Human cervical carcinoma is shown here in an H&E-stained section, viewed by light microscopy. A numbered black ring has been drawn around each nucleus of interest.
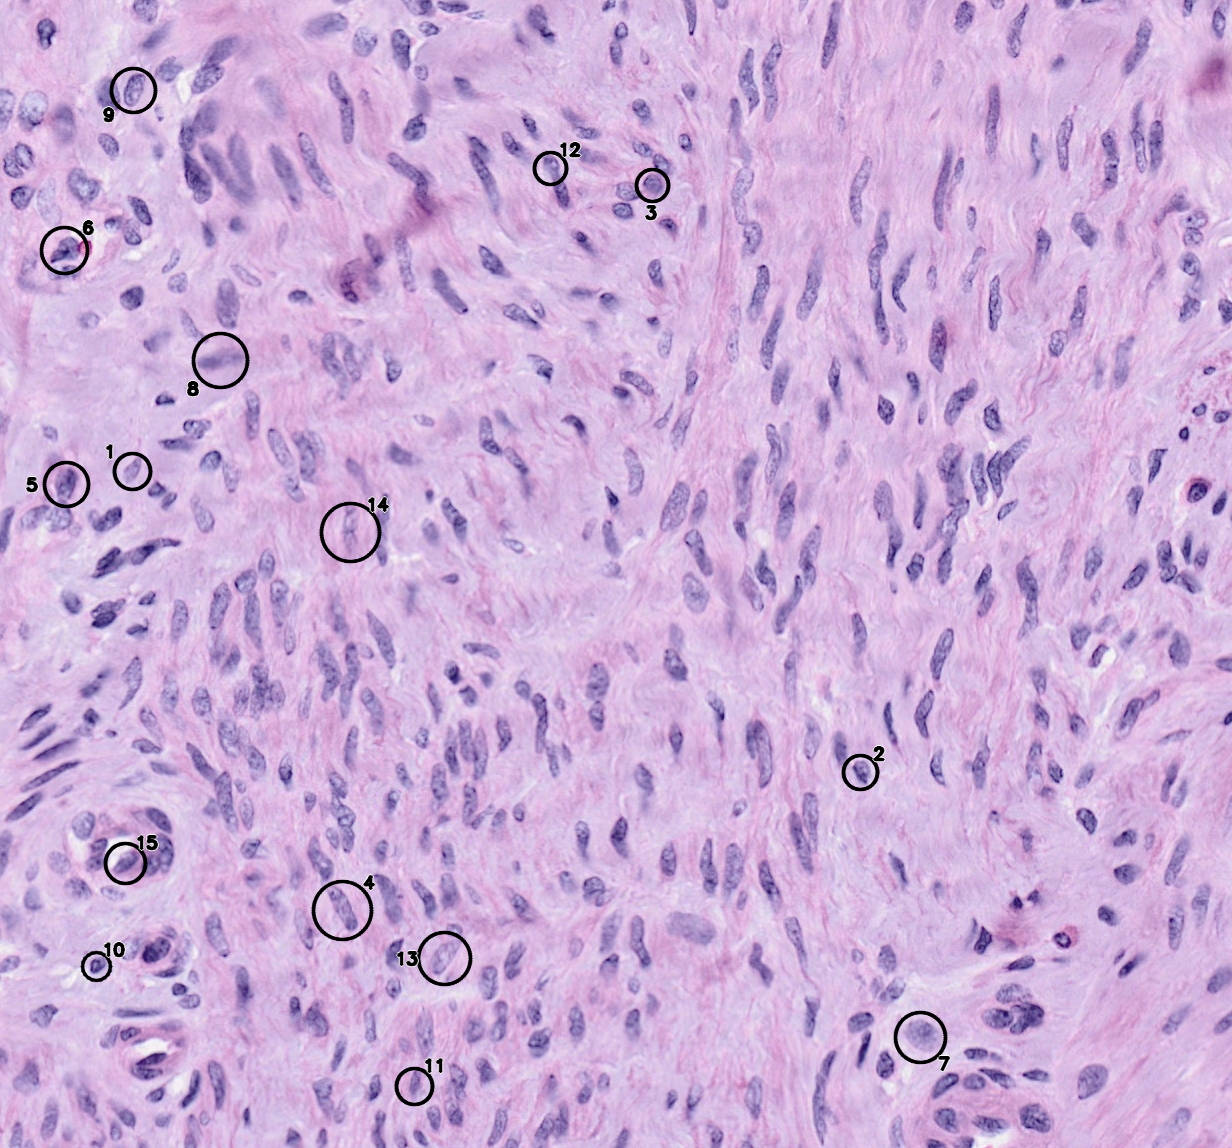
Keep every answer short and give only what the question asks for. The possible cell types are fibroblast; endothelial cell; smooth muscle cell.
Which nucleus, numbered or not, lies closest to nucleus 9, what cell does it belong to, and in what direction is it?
a fibroblast, to the left of nucleus 9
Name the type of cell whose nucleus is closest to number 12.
smooth muscle cell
